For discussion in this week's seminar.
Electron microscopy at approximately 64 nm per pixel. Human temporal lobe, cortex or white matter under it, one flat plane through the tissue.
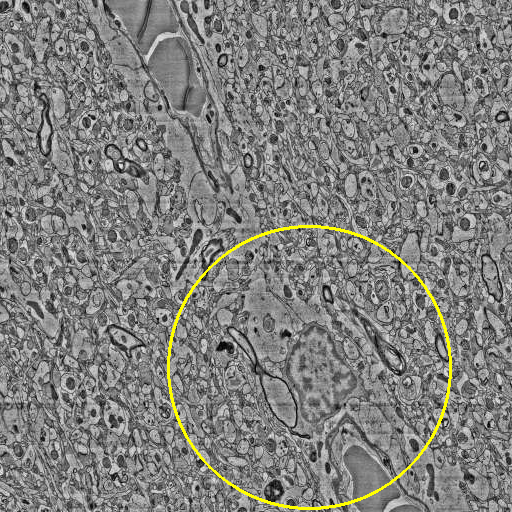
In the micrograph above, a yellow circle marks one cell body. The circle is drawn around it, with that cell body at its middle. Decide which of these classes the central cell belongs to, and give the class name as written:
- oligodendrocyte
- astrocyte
oligodendrocyte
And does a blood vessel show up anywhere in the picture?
Yes, there is a blood vessel in the image.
